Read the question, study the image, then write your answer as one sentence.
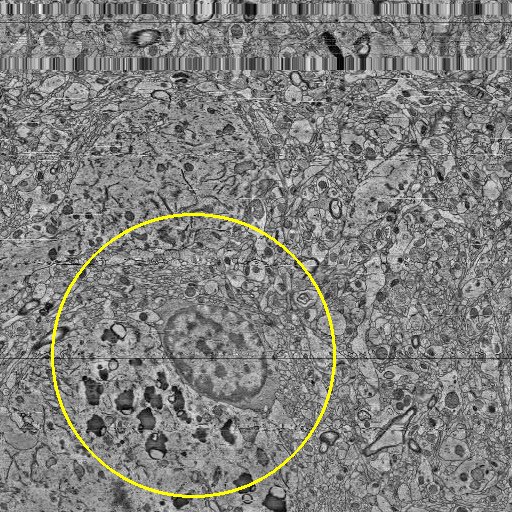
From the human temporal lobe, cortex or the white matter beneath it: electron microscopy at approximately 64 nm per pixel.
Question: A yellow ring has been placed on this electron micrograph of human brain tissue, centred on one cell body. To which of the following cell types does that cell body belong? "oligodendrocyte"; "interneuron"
That cell body belongs to an oligodendrocyte.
